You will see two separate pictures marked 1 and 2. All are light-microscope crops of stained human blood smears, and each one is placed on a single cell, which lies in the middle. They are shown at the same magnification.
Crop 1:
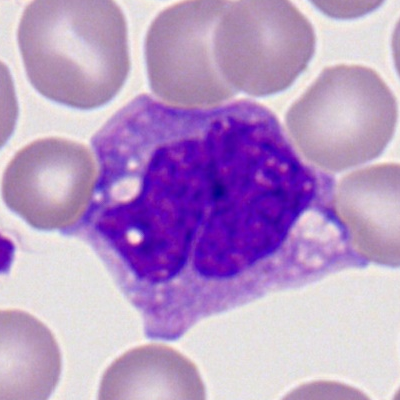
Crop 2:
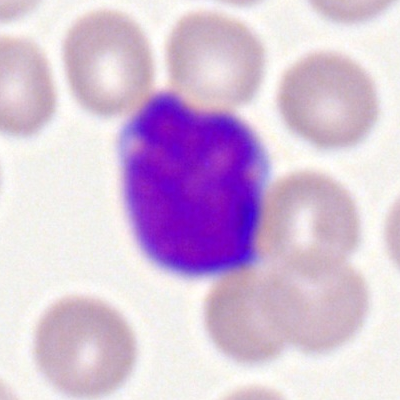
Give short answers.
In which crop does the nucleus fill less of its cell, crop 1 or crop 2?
1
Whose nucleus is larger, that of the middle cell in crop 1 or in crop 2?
1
